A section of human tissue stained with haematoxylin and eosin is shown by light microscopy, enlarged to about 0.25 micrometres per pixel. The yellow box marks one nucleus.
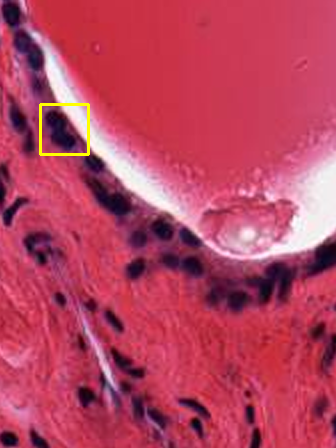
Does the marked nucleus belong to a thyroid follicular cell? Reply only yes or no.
yes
